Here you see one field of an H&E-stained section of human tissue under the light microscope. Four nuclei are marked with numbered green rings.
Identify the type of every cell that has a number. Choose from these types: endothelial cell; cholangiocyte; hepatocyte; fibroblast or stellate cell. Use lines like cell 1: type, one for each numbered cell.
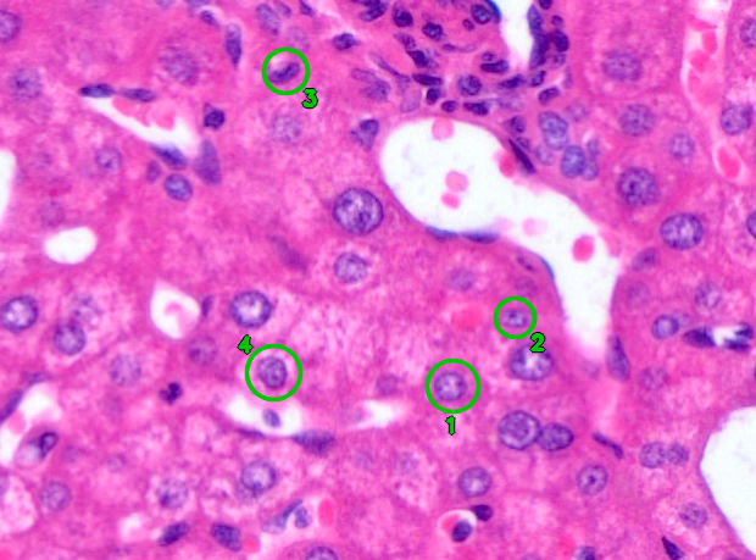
cell 1: hepatocyte
cell 2: cholangiocyte
cell 3: fibroblast or stellate cell
cell 4: hepatocyte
